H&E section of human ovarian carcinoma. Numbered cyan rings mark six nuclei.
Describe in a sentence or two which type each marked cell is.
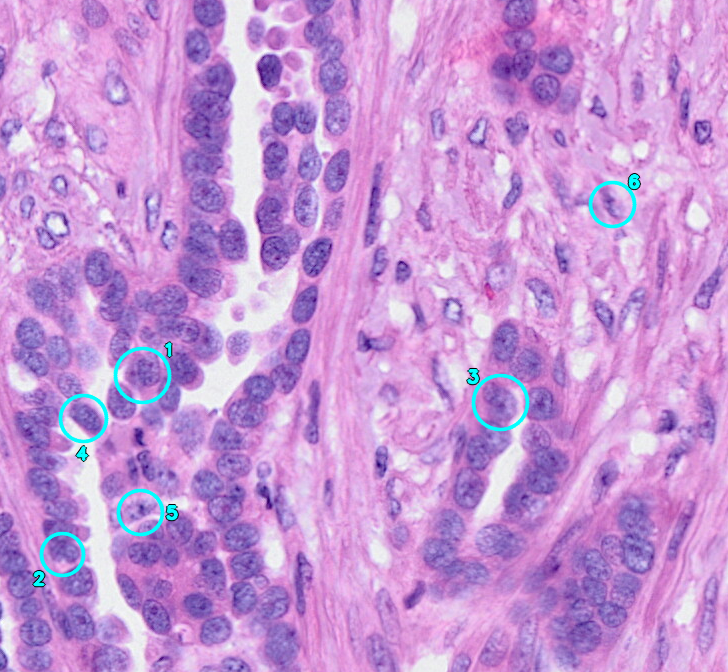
Cell 1 is a carcinoma cell, cell 2 is a carcinoma cell, cell 3 is a carcinoma cell, cell 4 is a carcinoma cell, cell 5 is a macrophage or monocyte and cell 6 is a fibroblast.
